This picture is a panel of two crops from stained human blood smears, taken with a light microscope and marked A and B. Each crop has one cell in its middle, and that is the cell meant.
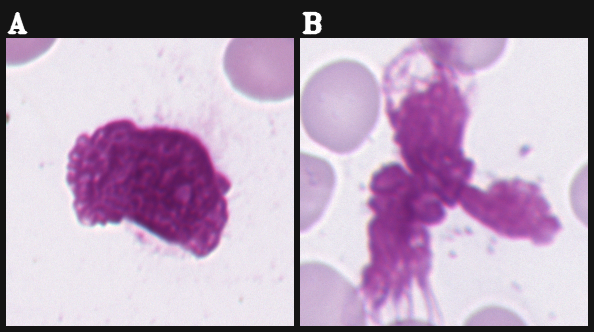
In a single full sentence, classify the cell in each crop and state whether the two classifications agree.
Yes, it is smudge cells that both crops show.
